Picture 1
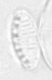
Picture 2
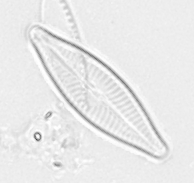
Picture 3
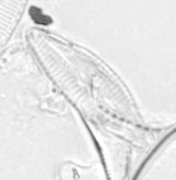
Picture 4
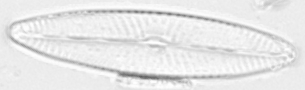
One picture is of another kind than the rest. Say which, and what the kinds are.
Picture 1 shows Nitzschia; the rest show Navicula.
